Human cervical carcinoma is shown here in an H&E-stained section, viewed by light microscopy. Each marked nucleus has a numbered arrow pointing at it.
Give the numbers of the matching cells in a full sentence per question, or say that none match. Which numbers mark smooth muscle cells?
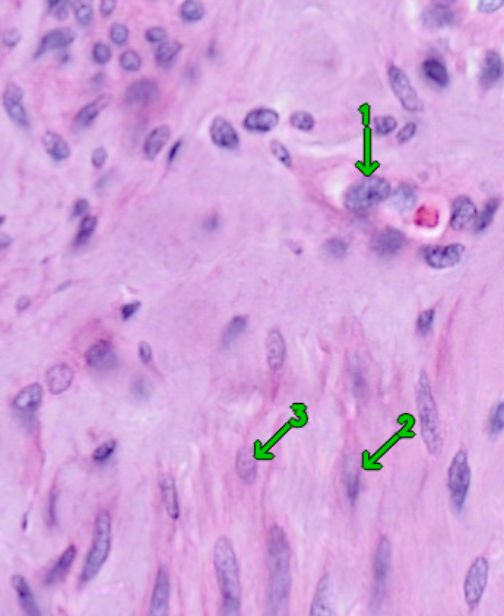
The cells labelled 2 and 3 in this section are smooth muscle cells.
